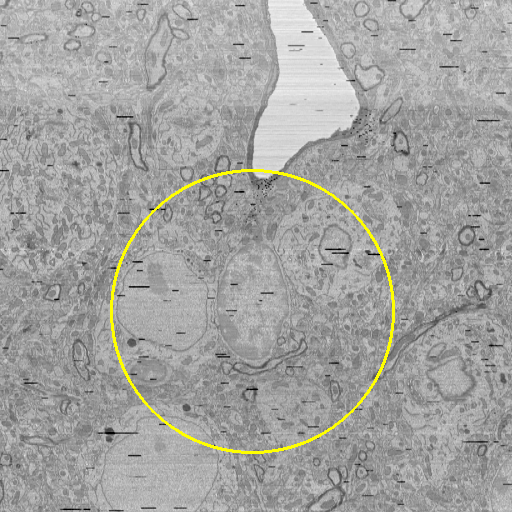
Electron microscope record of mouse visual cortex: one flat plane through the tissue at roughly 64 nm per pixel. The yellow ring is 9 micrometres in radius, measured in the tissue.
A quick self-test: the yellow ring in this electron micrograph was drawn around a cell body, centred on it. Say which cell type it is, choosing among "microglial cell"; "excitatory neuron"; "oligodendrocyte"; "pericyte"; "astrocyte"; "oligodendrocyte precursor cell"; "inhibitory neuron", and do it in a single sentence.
The yellow-ringed cell is an oligodendrocyte.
